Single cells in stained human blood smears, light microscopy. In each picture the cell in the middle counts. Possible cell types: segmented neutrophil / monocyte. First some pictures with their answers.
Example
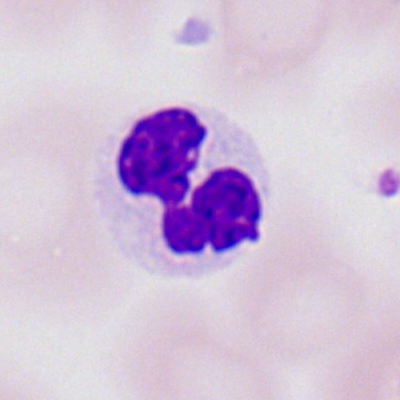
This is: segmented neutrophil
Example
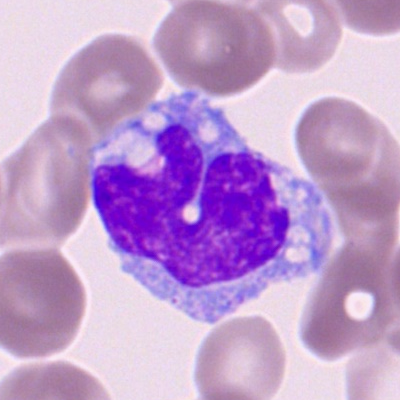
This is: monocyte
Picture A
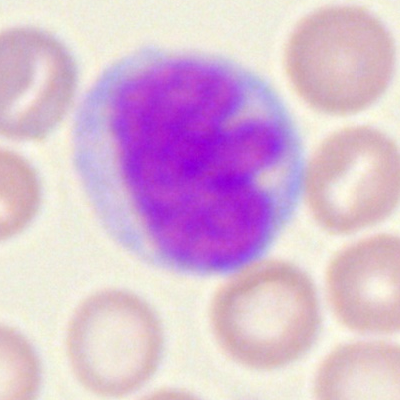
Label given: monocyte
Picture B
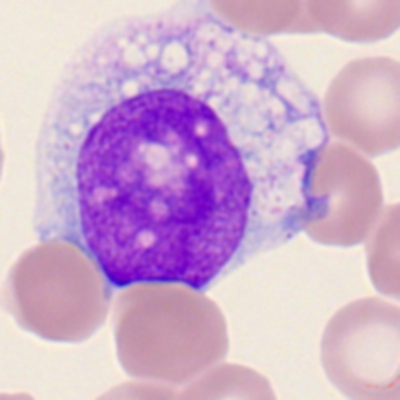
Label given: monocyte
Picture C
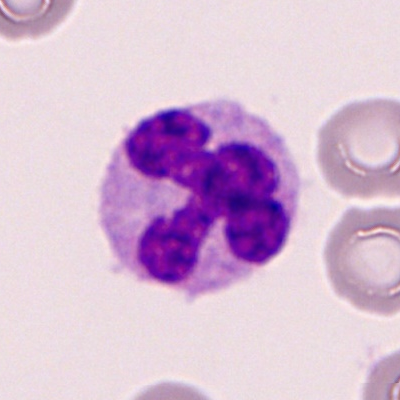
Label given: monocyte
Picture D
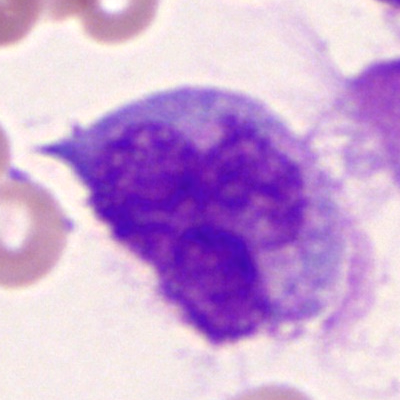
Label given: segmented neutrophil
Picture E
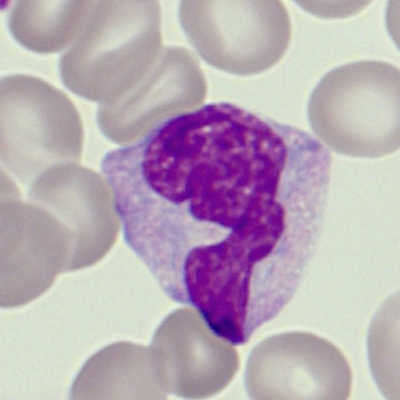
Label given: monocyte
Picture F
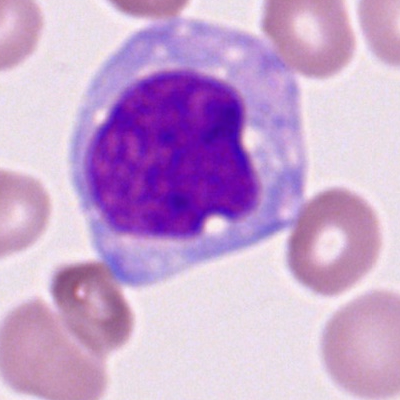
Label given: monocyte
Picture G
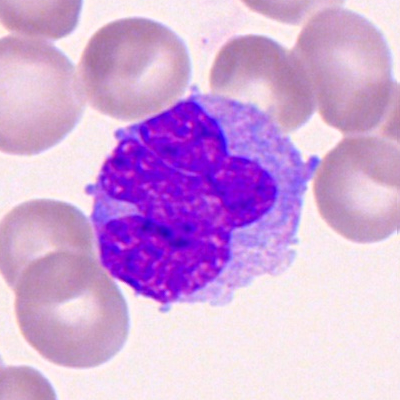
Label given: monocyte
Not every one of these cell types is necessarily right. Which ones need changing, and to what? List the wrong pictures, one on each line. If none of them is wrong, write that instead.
Wrong: D (segmented neutrophil); correct: monocyte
